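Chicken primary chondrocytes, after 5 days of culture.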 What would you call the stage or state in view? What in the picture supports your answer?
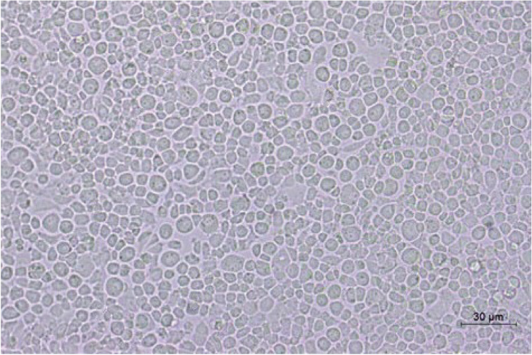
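Cells are packed edge to edge with almost no free space between them. Each cell is a small rounded to polygonal body with a bright outline. The cells form a continuous mosaic across the whole field. On this evidence: “paving stone” phenotype.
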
